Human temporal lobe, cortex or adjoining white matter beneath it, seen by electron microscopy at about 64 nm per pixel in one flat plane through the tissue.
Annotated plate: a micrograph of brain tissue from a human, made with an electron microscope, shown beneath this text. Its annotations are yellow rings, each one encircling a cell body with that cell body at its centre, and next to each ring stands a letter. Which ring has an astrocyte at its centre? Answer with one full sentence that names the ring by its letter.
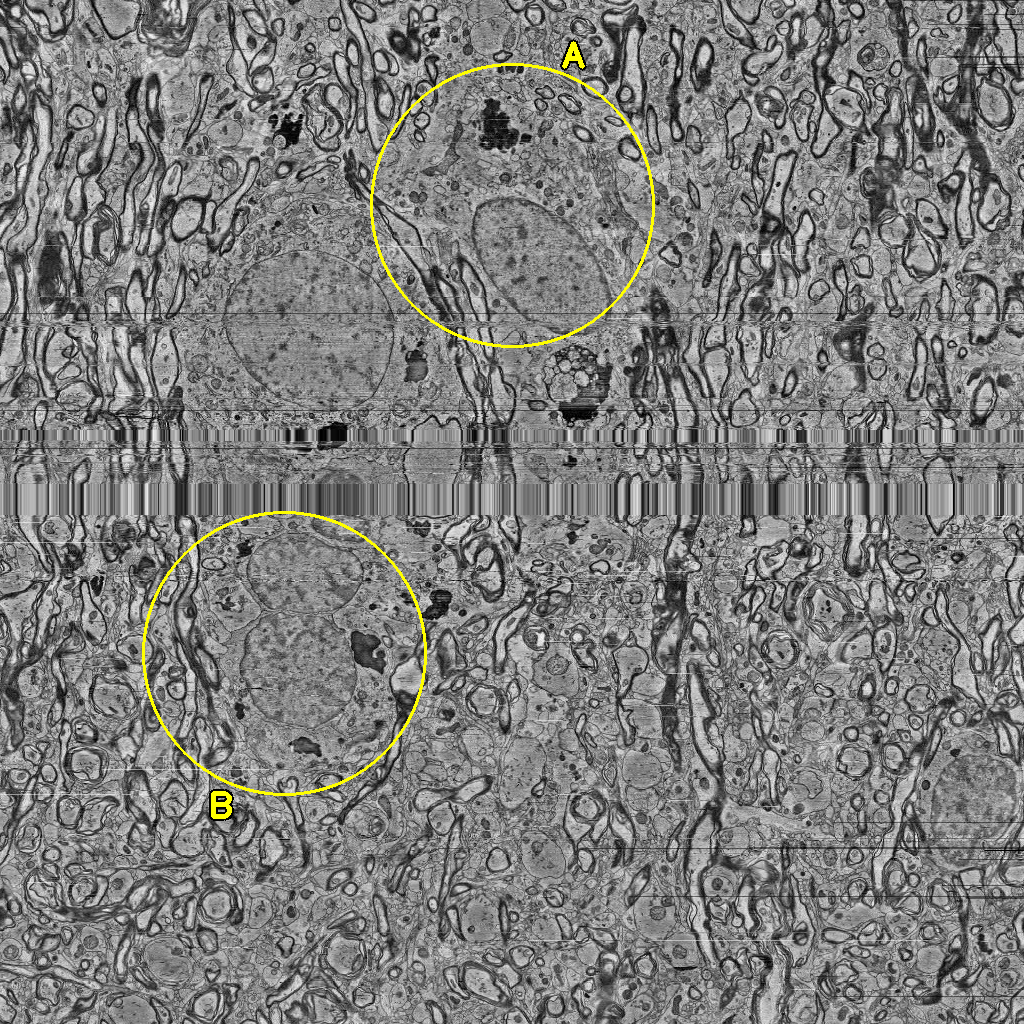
In the plate, ring A is the one centred on a cell of that kind.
